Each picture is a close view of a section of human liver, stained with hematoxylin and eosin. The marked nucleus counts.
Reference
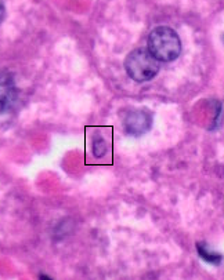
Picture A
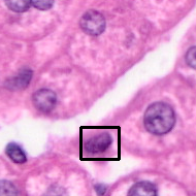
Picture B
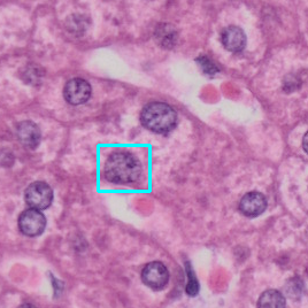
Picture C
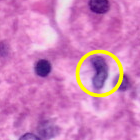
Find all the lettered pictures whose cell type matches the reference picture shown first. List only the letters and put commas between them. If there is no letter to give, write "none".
A, C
